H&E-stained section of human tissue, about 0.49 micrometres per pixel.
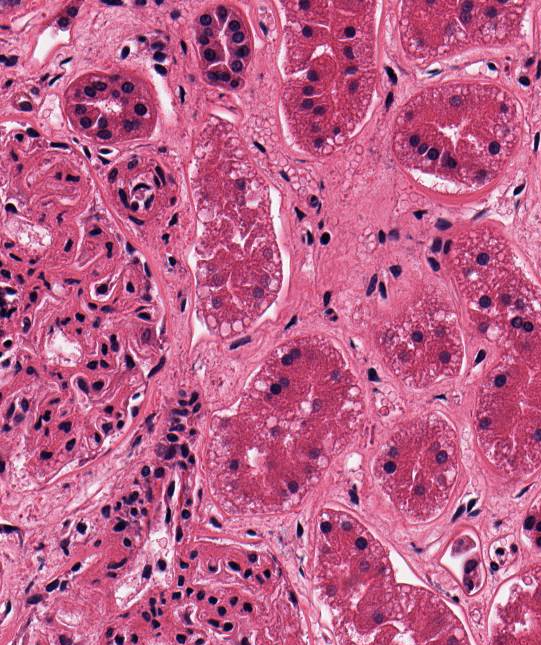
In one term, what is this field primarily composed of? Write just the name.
cortical labyrinth of the kidney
